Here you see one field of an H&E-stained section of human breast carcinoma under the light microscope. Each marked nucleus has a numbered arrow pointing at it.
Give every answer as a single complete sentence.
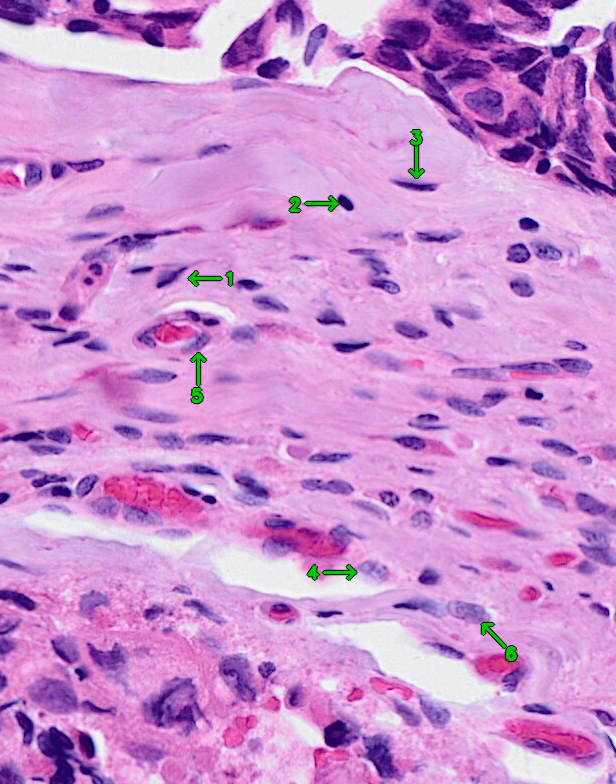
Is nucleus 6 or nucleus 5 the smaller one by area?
Number 5 is smaller, since number 6 takes up about 1.5 times as much area.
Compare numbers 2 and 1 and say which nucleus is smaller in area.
Nucleus 2 is the smaller one; nucleus 1 covers about 2 times its area.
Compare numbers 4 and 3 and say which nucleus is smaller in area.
With nucleus 4 about 2 times its size, nucleus 3 is the smaller of the two.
